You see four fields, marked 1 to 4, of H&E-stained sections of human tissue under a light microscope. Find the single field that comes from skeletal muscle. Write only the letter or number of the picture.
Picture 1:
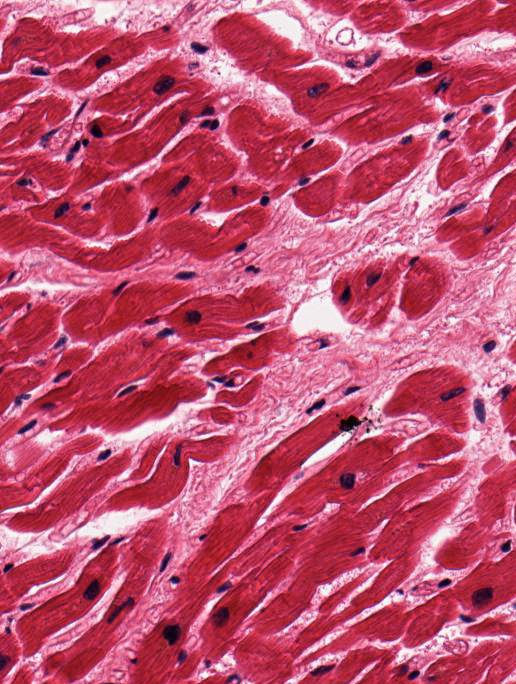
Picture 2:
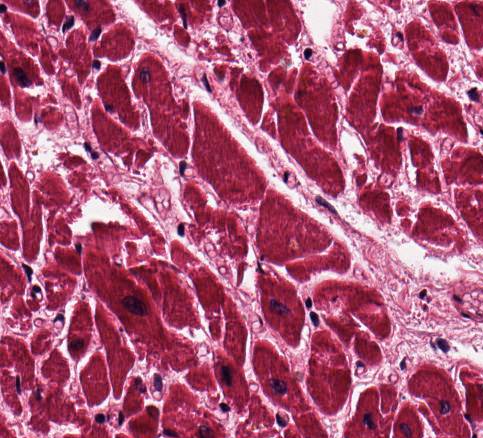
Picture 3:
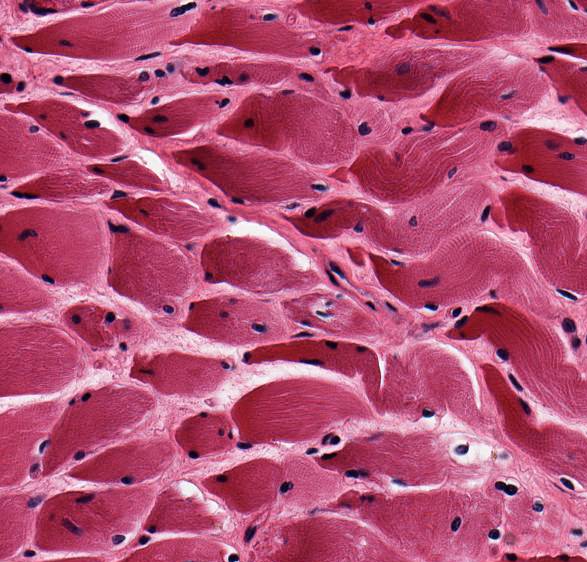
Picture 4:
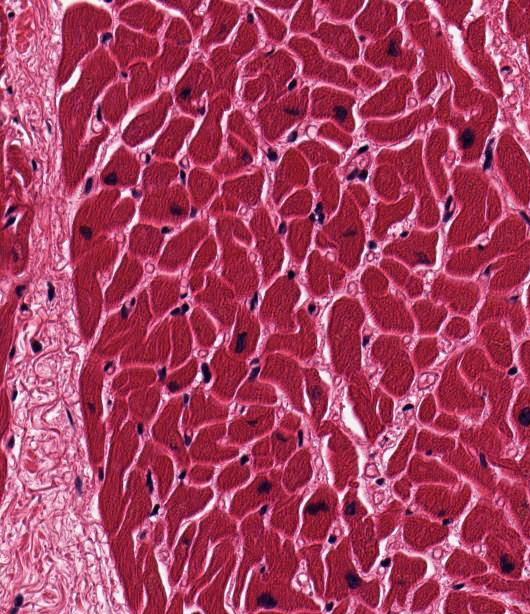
3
